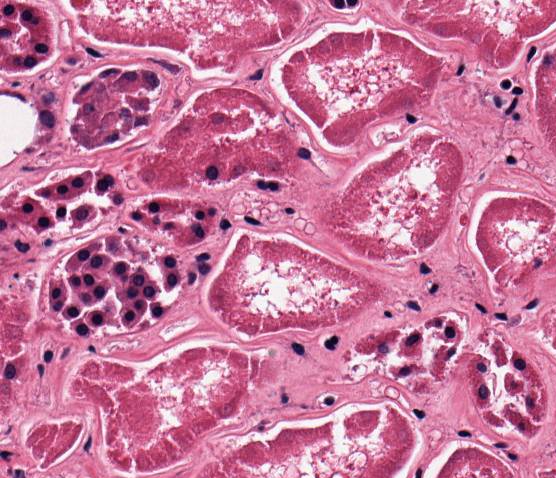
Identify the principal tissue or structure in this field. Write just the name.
cortical labyrinth of the kidney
